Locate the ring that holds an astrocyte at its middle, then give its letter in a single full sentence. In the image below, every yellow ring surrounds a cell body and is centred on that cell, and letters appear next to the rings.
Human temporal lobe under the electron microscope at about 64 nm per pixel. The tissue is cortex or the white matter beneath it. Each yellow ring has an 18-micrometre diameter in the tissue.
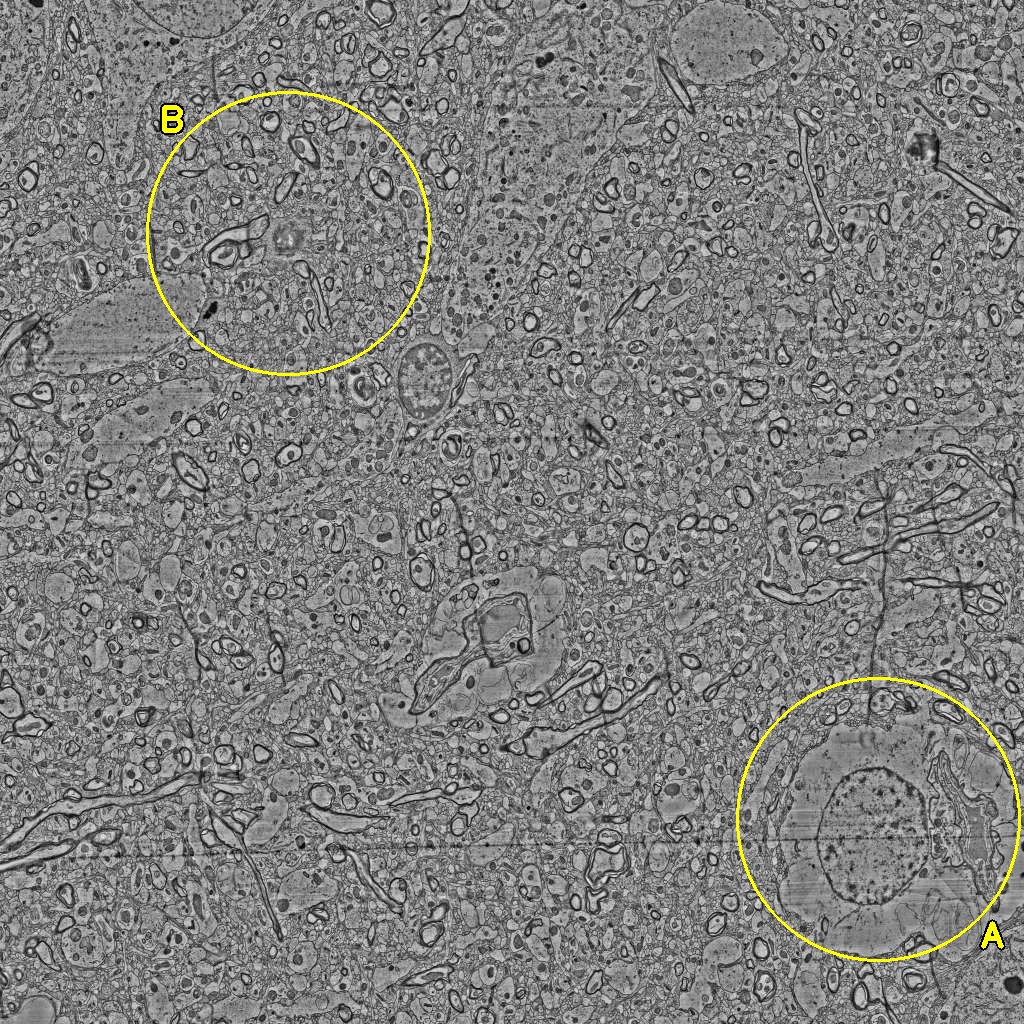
Ring A is the one centred on that kind of cell in the image.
